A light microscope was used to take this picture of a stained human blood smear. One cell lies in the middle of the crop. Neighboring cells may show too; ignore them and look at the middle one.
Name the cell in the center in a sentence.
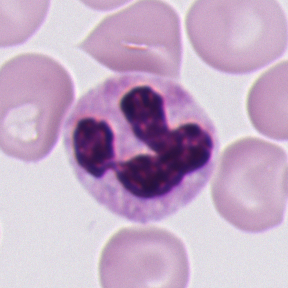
The crop's centre is taken up by a segmented neutrophil.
